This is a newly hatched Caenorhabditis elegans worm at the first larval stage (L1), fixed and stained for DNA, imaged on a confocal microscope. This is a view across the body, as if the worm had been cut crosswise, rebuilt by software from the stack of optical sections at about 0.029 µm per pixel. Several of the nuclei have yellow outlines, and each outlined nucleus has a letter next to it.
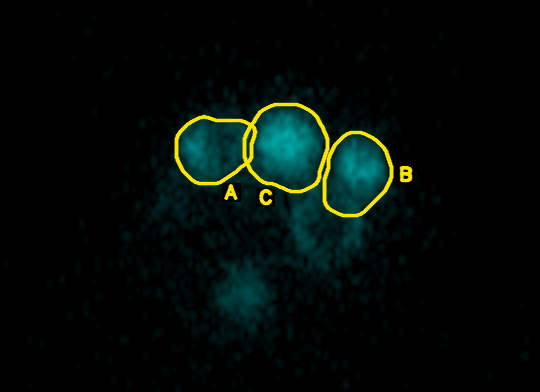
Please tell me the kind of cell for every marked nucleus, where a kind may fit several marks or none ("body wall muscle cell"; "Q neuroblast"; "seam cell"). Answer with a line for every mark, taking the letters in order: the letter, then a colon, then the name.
A: seam cell
B: body wall muscle cell
C: Q neuroblast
